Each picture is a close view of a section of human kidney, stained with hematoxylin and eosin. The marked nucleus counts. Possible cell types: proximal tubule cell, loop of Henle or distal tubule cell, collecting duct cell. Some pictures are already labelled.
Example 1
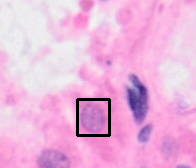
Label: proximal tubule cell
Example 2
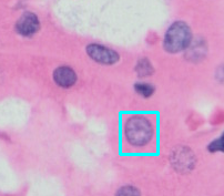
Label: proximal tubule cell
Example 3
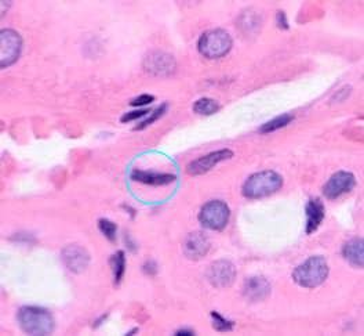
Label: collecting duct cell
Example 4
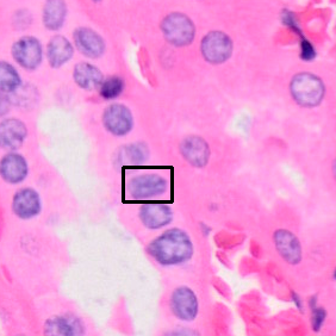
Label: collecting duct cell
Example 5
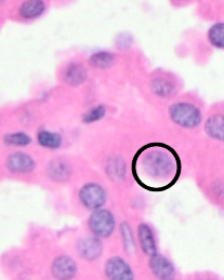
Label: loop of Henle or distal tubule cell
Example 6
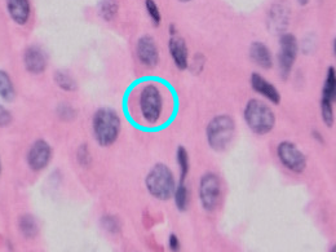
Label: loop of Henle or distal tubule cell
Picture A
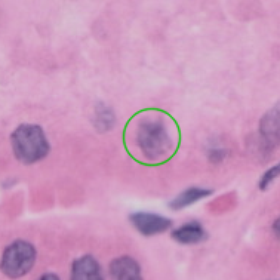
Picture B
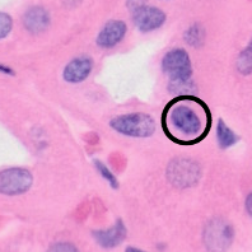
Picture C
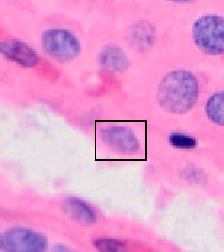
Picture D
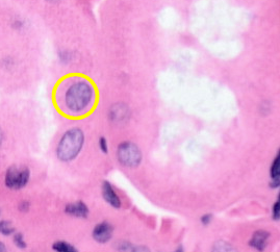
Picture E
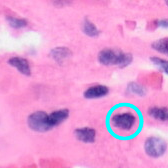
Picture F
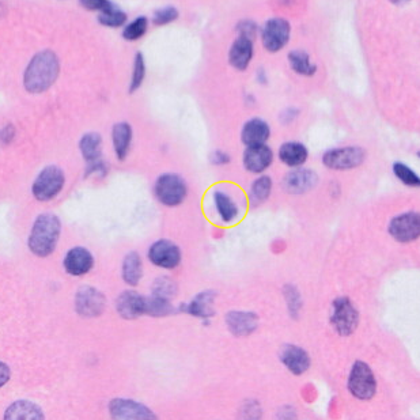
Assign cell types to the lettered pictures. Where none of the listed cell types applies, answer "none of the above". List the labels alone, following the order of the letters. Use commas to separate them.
proximal tubule cell, collecting duct cell, loop of Henle or distal tubule cell, proximal tubule cell, loop of Henle or distal tubule cell, none of the above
